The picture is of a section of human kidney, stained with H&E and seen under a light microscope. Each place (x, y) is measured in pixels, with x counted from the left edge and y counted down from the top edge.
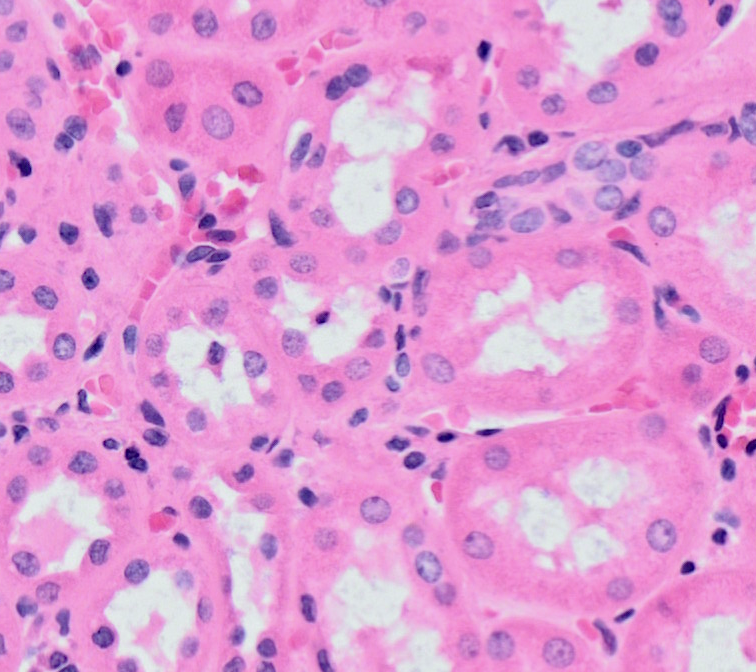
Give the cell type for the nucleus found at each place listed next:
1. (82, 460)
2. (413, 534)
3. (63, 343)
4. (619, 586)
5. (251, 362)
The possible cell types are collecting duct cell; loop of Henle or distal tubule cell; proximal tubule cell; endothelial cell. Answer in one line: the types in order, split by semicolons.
loop of Henle or distal tubule cell; proximal tubule cell; loop of Henle or distal tubule cell; proximal tubule cell; loop of Henle or distal tubule cell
